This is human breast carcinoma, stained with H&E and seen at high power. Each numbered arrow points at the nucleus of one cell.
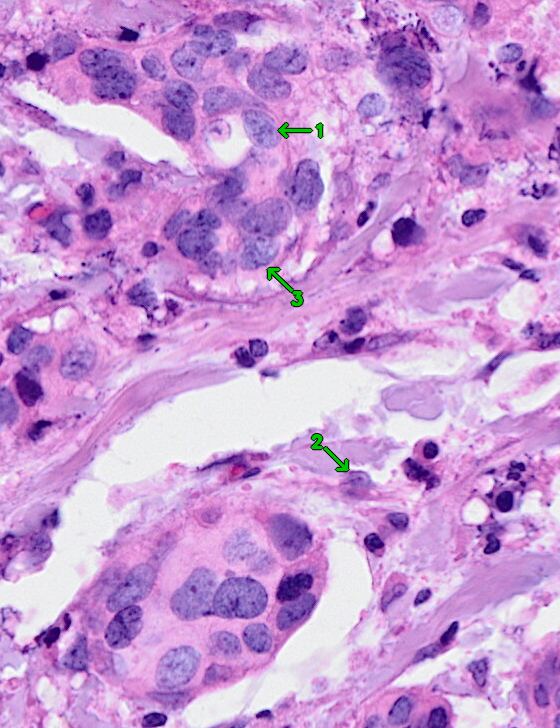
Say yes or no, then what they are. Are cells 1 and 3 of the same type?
Yes, in the case of cells 1 and 3, both are carcinoma cells.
